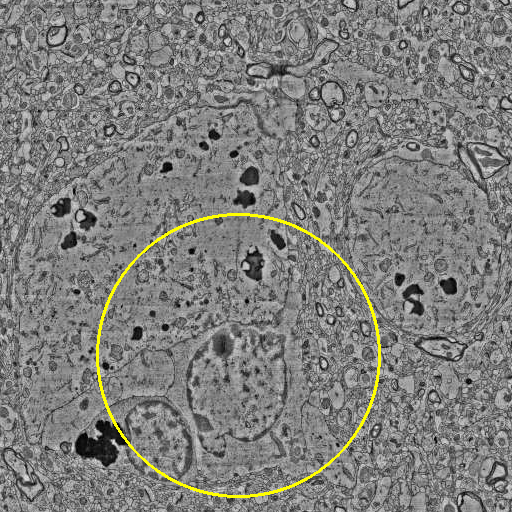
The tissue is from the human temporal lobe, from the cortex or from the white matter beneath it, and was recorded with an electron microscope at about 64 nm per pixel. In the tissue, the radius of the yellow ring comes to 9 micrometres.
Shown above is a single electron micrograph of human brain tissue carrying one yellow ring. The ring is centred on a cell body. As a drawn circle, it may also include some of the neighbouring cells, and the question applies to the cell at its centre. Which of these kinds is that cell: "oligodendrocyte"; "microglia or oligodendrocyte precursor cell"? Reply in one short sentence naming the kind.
The cell marked by the ring is a microglial cell or oligodendrocyte precursor cell.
